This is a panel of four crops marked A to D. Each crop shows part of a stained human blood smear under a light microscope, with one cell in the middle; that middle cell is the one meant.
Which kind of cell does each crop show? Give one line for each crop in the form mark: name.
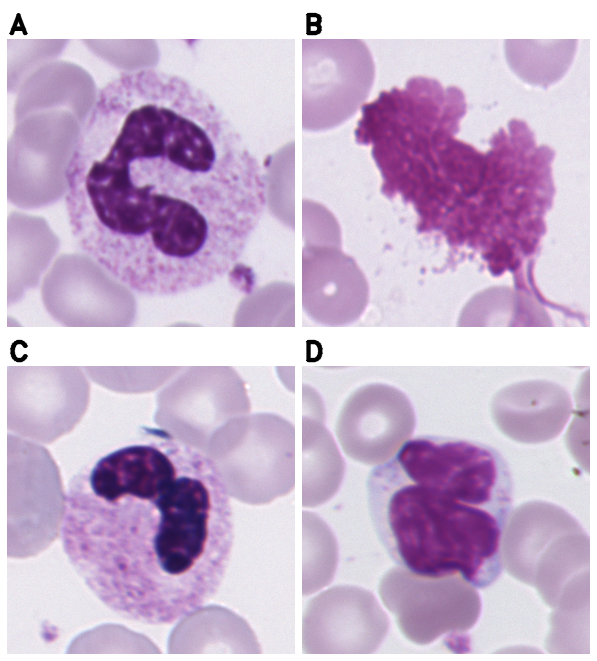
A: segmented neutrophil
B: smudge cell
C: segmented neutrophil
D: large granular lymphocyte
